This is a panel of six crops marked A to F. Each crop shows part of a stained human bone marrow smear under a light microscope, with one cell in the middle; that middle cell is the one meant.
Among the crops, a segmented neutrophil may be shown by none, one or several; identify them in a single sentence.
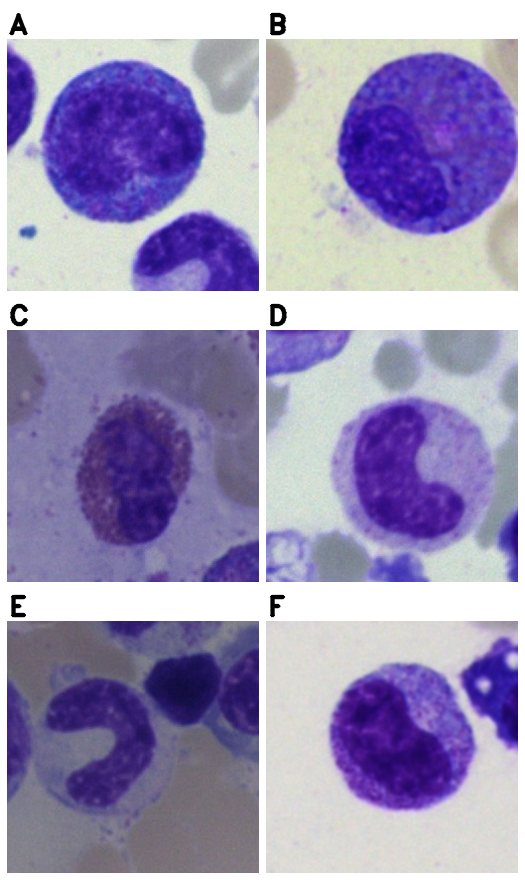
Nowhere among the crops is a segmented neutrophil shown.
